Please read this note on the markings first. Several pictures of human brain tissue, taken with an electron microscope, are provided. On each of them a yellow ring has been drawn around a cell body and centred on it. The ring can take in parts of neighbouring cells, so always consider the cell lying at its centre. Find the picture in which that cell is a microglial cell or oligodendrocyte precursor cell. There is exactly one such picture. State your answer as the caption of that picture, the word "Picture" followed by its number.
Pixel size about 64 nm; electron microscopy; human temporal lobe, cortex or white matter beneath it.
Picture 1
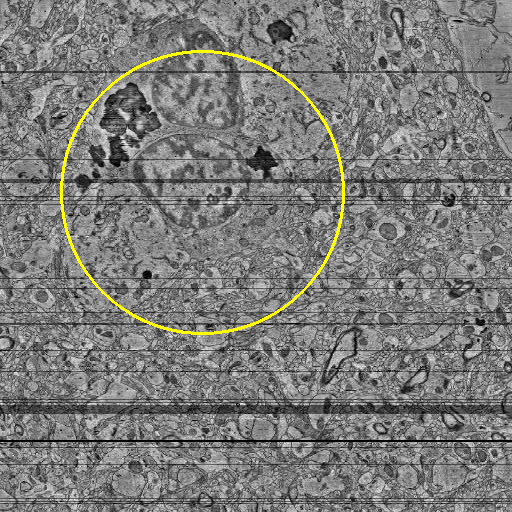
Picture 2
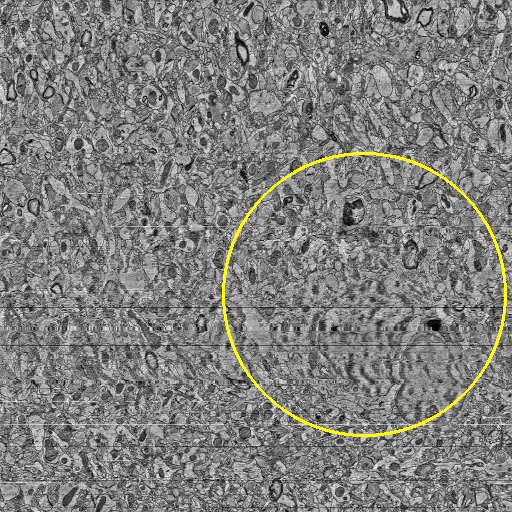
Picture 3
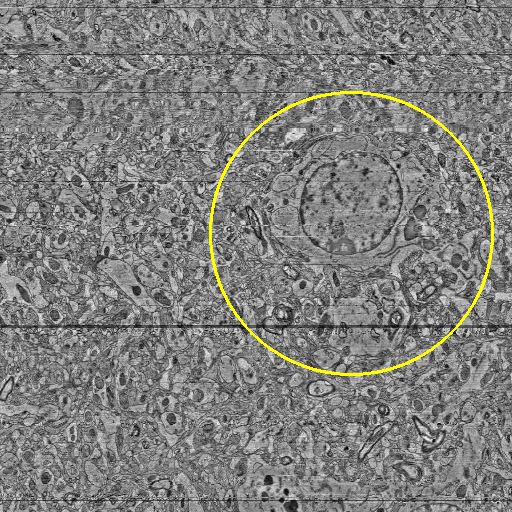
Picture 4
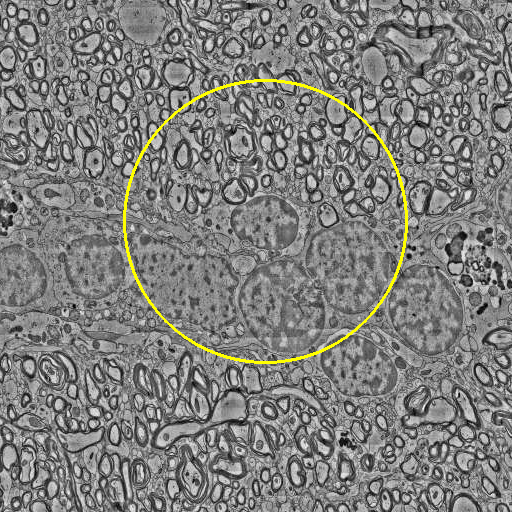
Picture 4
